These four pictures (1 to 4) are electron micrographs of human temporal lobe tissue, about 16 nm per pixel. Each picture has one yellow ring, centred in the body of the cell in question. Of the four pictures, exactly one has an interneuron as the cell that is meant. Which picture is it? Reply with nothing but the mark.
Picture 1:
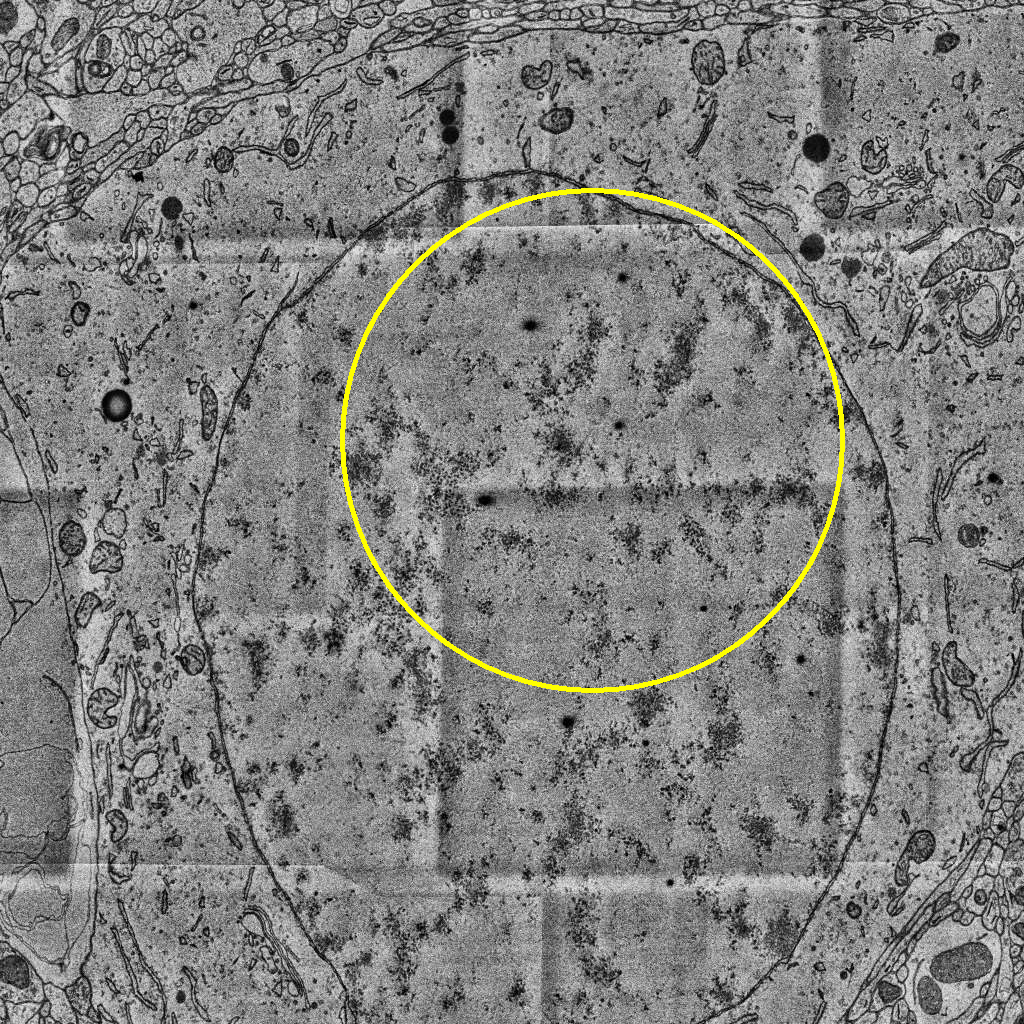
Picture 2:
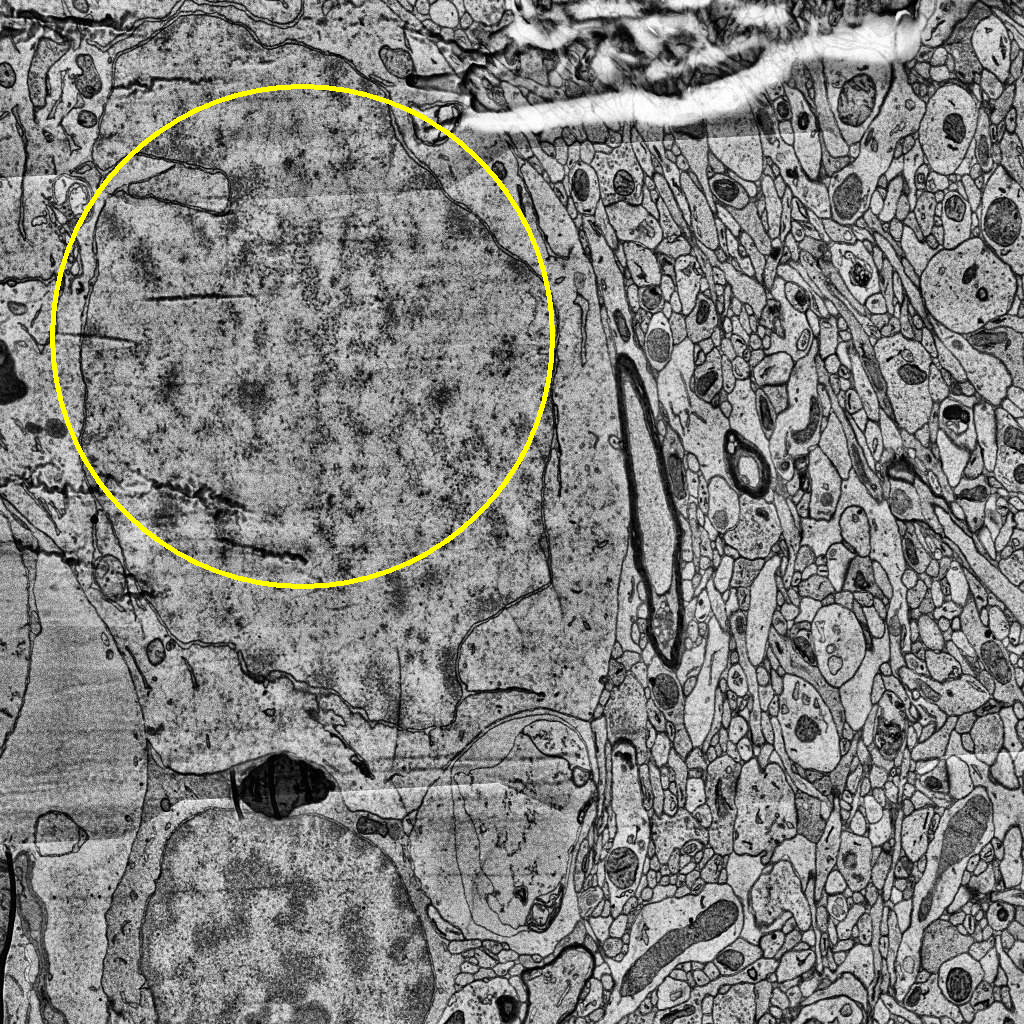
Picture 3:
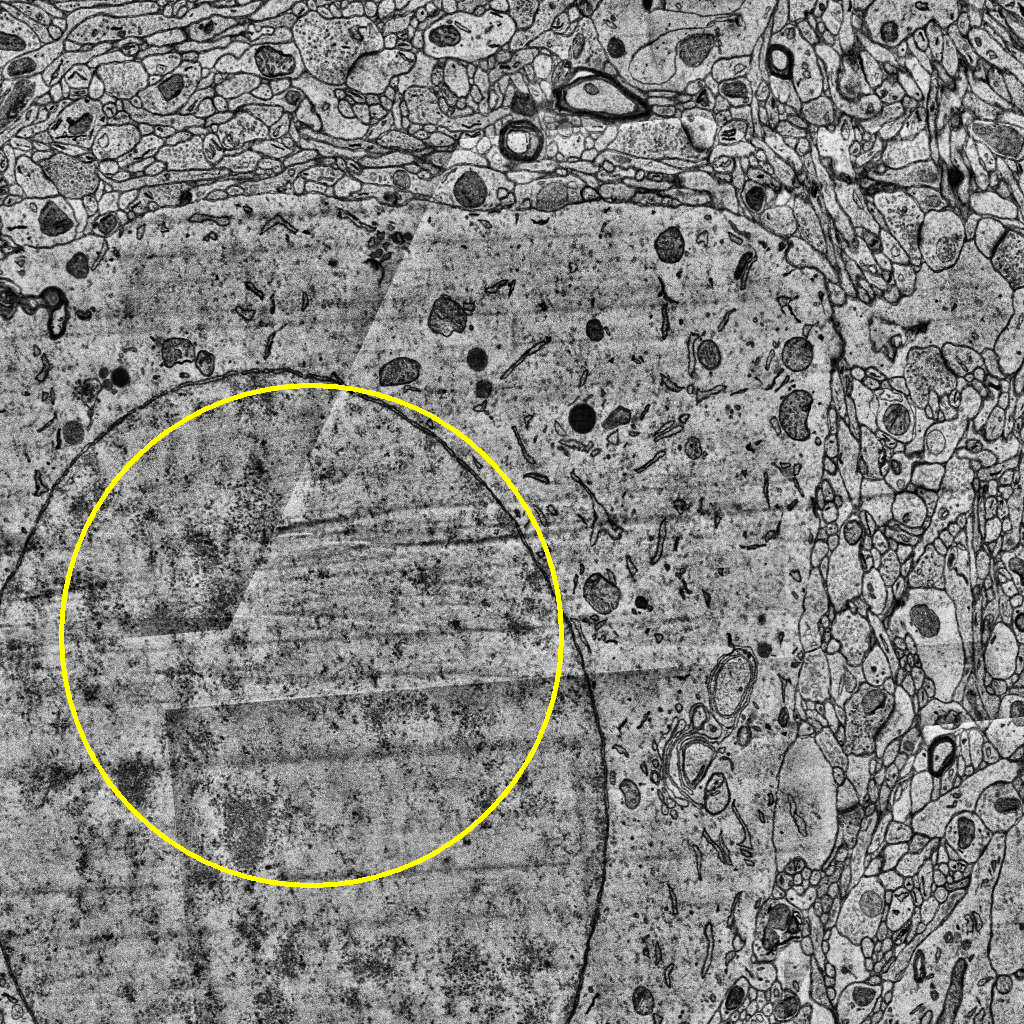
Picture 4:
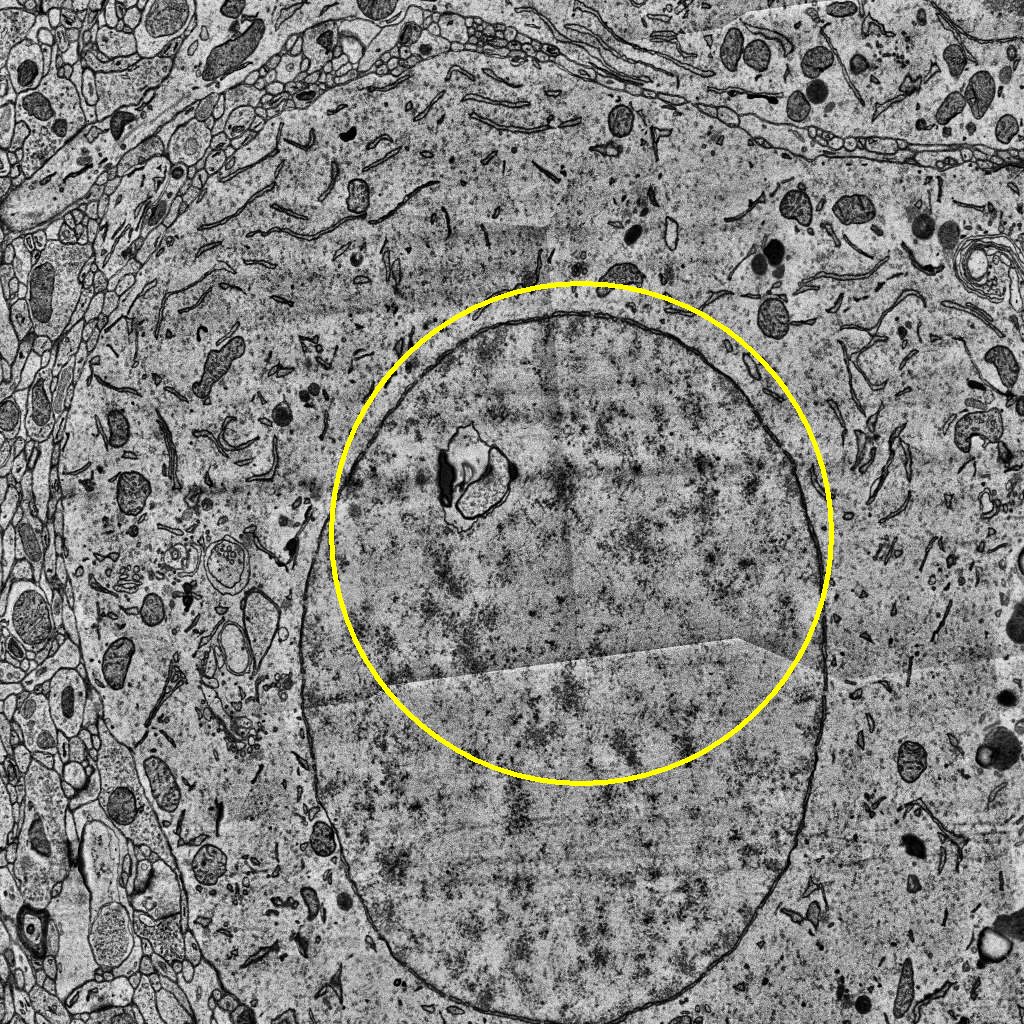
2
